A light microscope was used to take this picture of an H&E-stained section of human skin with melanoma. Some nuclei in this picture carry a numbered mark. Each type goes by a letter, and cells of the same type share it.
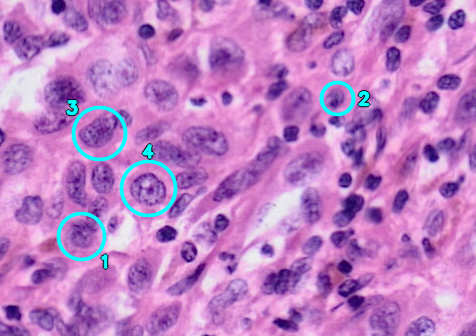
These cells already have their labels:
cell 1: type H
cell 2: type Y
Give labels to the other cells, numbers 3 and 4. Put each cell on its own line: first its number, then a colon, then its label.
3: type H
4: type H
